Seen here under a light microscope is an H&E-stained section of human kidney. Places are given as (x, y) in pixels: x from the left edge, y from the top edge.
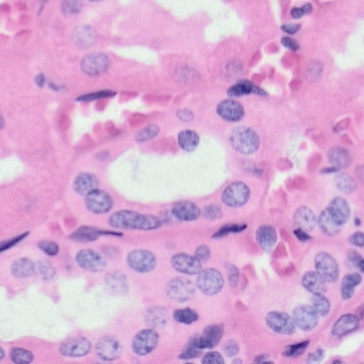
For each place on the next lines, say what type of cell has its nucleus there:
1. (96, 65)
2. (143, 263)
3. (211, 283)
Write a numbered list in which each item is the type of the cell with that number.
1. proximal tubule cell
2. collecting duct cell
3. collecting duct cell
